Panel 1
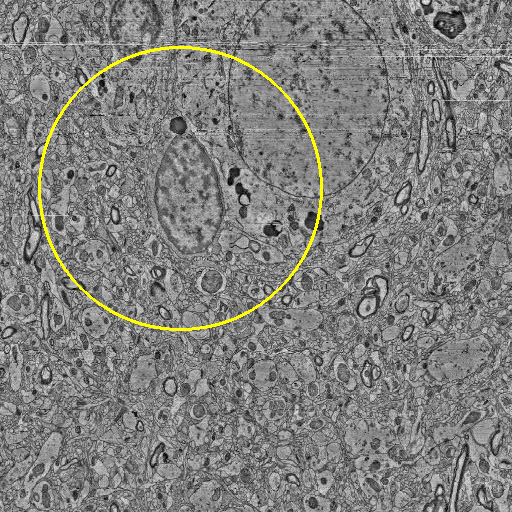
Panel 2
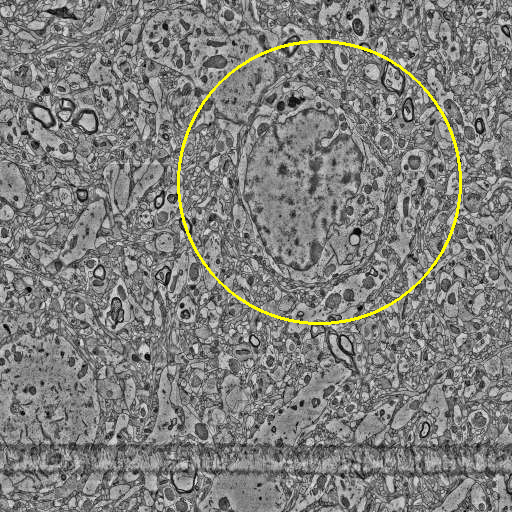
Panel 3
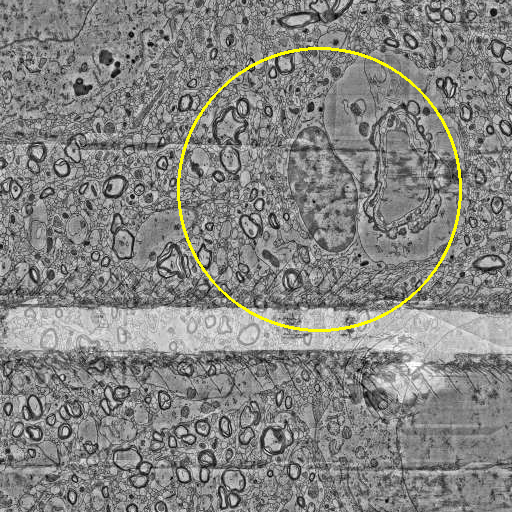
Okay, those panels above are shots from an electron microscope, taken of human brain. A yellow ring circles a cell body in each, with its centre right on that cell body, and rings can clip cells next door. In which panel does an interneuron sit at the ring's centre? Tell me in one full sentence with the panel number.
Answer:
The cell you asked for sits at the ring's centre in panel 2.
